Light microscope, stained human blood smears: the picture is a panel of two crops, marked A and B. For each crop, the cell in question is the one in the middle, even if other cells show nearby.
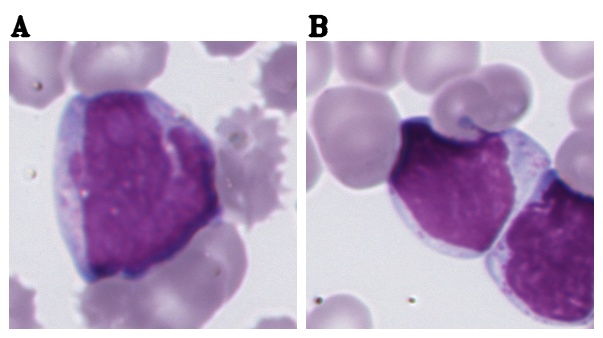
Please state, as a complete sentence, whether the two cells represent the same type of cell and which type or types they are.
No, the cell in crop A is a myeloblast, and the cell in crop B is a large granular lymphocyte.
